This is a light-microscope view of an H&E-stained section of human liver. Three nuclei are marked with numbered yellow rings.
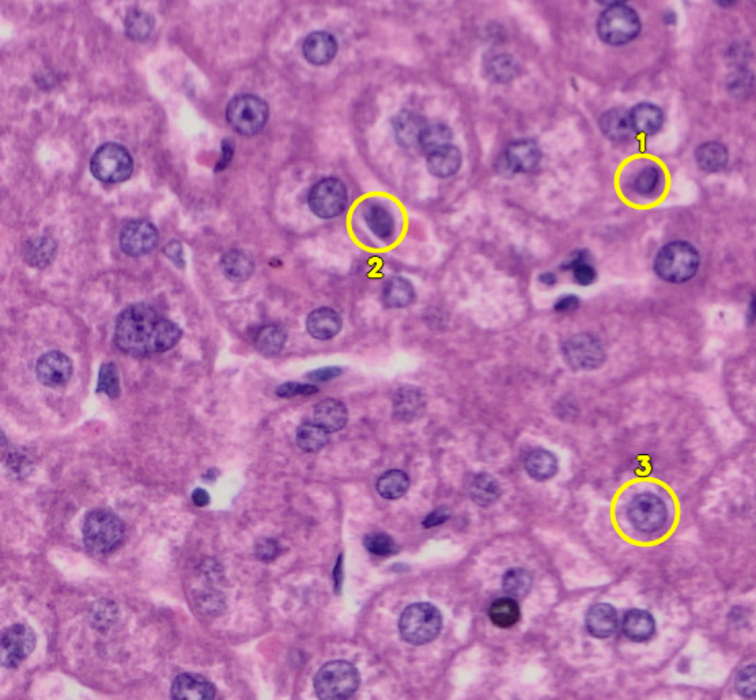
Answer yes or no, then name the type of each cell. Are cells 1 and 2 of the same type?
Yes, both are Kupffer cells.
